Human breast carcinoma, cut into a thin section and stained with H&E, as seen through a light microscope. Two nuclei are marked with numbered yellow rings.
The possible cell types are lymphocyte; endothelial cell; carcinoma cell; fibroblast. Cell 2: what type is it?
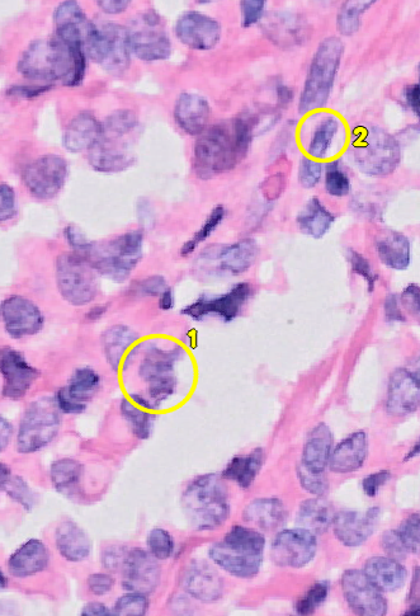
endothelial cell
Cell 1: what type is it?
carcinoma cell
